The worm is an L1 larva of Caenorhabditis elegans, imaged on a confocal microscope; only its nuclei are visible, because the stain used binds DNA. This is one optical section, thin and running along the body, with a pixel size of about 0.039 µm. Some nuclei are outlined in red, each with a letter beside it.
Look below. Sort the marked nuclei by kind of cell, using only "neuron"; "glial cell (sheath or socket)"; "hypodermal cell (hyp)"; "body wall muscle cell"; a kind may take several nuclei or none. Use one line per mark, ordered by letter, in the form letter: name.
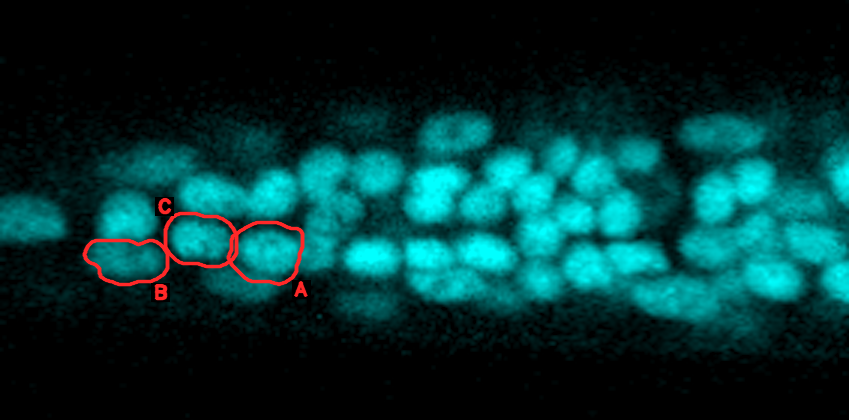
A: glial cell (sheath or socket)
B: body wall muscle cell
C: hypodermal cell (hyp)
